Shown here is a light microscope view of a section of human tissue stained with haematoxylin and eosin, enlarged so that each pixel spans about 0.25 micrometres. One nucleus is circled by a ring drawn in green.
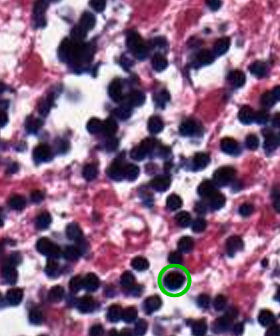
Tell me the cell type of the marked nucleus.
cerebellar granule cell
